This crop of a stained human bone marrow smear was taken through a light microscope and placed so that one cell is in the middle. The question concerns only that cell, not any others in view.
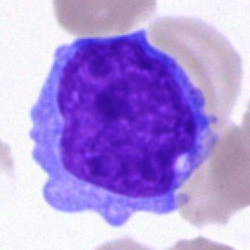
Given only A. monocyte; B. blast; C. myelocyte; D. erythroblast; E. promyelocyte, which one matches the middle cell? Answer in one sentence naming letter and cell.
The expected answer is option B, the central cell being a blast.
